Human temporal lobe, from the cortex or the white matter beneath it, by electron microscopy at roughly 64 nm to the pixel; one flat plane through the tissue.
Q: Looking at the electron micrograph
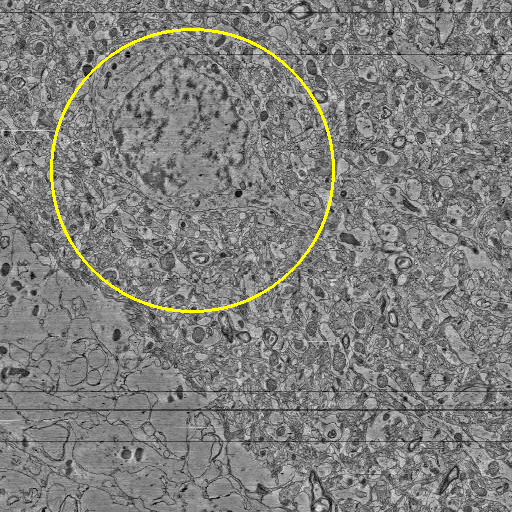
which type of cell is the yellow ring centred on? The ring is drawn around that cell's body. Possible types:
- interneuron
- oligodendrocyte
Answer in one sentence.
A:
The yellow ring is centred on an interneuron.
